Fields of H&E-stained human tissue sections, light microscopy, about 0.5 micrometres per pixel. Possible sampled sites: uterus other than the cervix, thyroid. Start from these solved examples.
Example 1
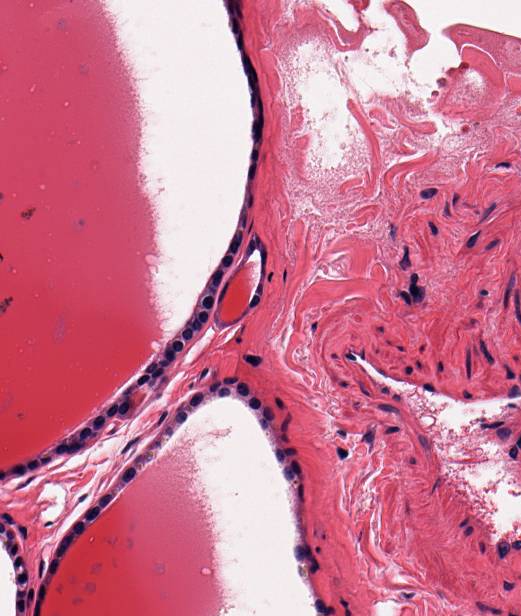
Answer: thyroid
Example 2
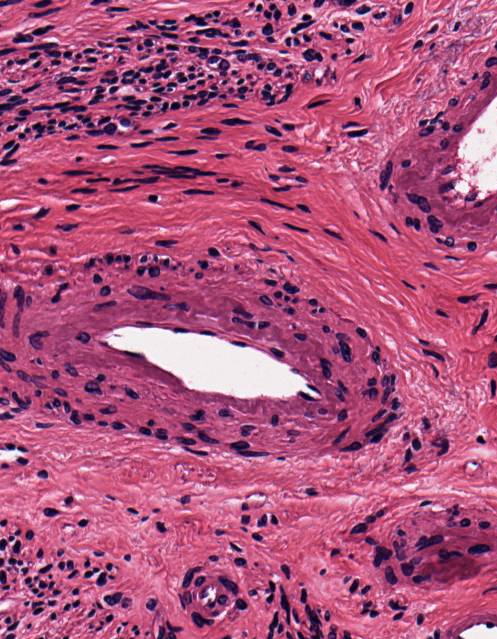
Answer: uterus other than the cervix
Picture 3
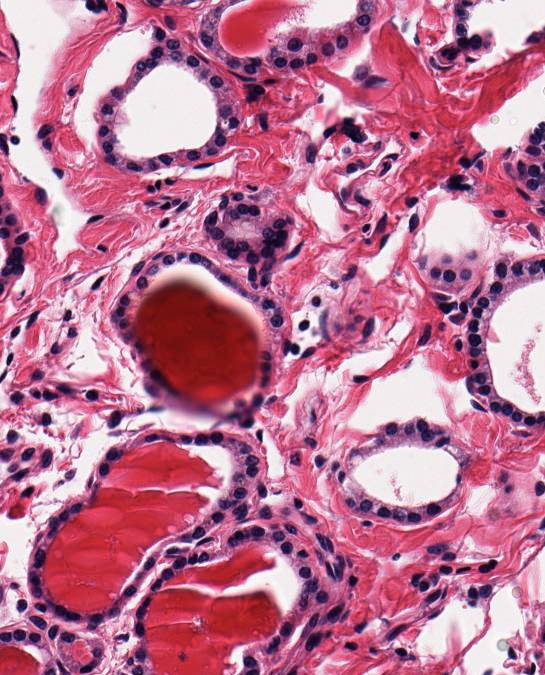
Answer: thyroid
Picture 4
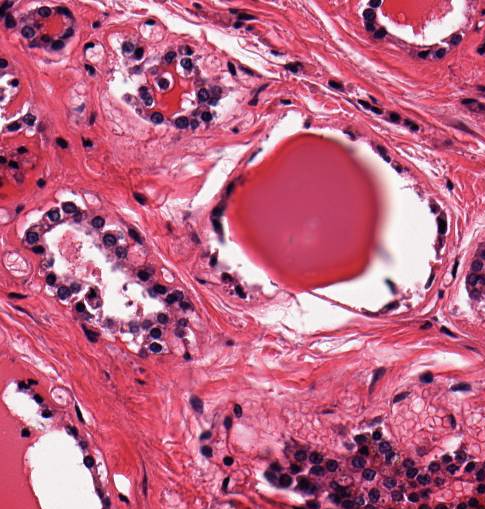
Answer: thyroid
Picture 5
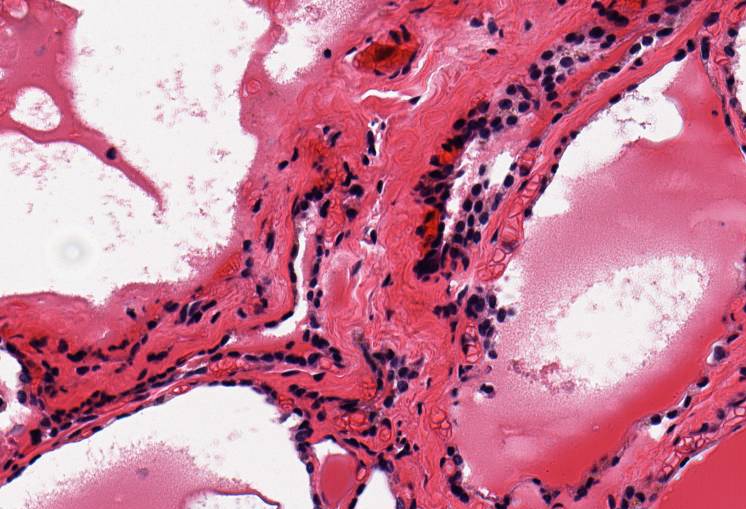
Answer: thyroid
